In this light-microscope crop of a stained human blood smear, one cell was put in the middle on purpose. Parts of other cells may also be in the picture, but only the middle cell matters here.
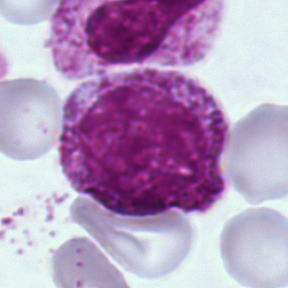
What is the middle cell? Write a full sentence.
The middle of this crop holds a myelocyte.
